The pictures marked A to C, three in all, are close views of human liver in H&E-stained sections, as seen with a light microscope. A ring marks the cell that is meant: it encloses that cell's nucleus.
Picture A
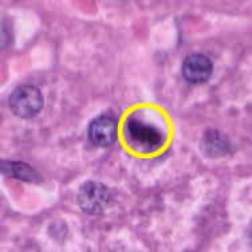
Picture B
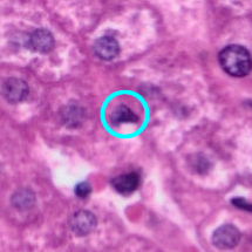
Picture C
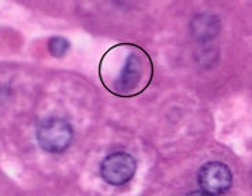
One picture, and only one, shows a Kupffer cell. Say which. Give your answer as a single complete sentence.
It is picture A that shows the Kupffer cell.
